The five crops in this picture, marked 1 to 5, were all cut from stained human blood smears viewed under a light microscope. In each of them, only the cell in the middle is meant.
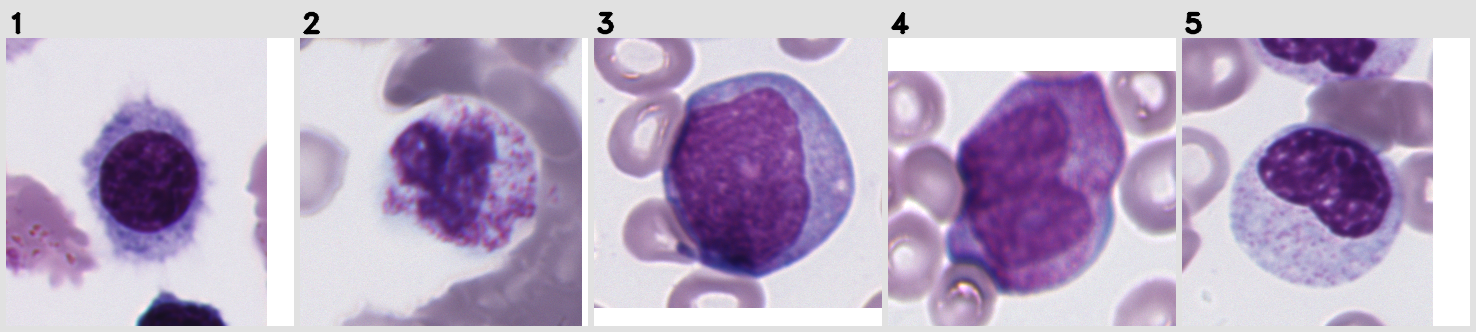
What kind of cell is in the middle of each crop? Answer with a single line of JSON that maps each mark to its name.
{"1": "hairy cell", "2": "basophil", "3": "promyelocyte", "4": "atypical promyelocyte", "5": "metamyelocyte"}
